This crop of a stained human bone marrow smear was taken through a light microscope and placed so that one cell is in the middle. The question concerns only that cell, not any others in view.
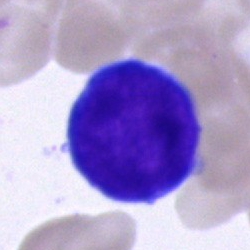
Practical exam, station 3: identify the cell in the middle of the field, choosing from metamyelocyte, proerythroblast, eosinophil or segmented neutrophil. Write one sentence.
This particular crop is centered on a proerythroblast.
